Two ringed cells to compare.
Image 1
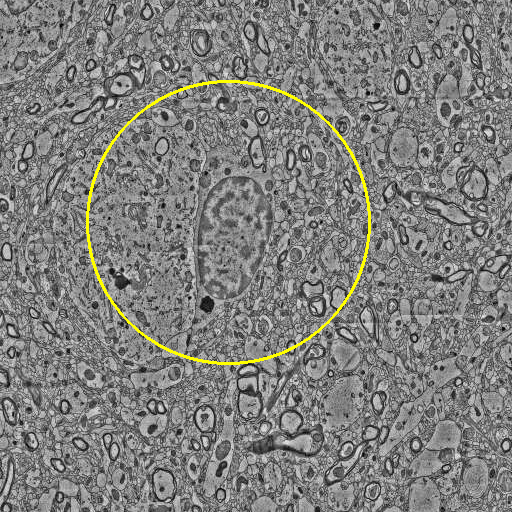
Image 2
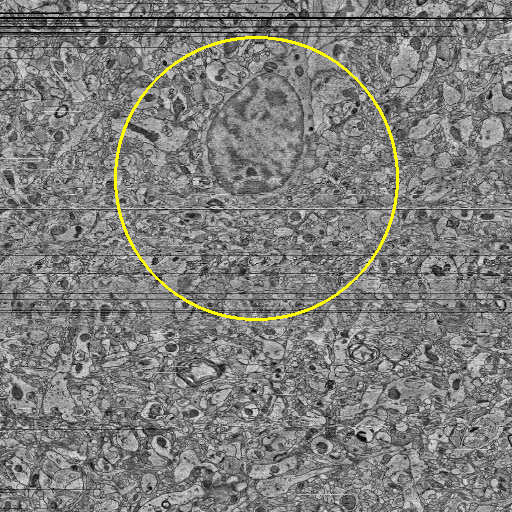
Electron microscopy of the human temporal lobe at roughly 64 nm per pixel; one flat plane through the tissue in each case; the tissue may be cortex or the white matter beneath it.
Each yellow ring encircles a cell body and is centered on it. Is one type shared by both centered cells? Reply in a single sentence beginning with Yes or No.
Yes, a single type is shared by the two cells at the centers of the rings.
